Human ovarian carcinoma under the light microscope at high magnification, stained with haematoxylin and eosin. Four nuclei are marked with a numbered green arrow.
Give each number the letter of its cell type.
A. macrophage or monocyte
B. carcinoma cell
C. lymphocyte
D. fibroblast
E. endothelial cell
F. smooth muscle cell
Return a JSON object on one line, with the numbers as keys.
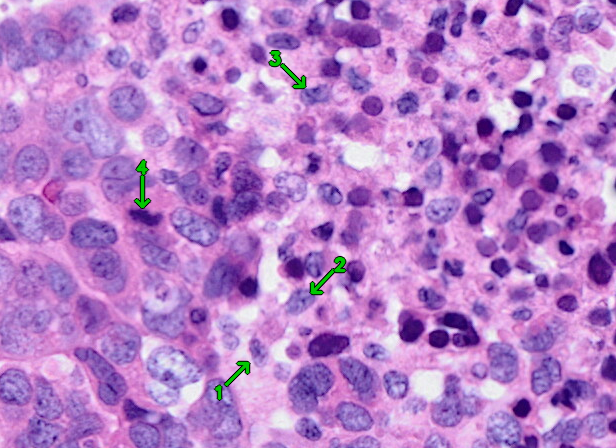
{"1": "A", "2": "A", "3": "A", "4": "B"}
